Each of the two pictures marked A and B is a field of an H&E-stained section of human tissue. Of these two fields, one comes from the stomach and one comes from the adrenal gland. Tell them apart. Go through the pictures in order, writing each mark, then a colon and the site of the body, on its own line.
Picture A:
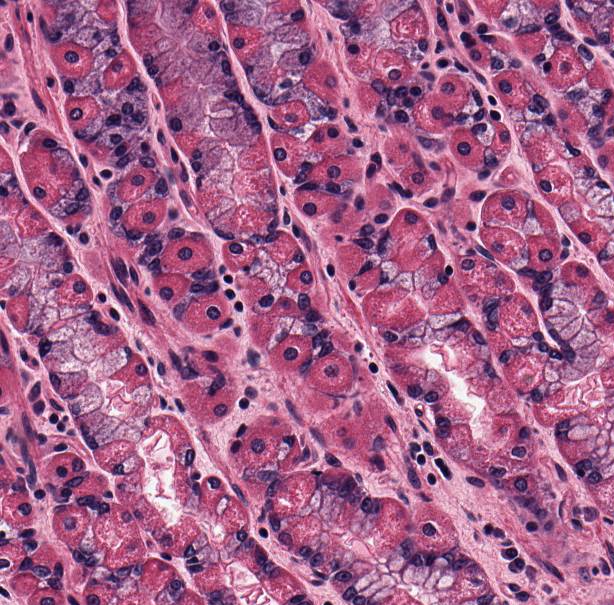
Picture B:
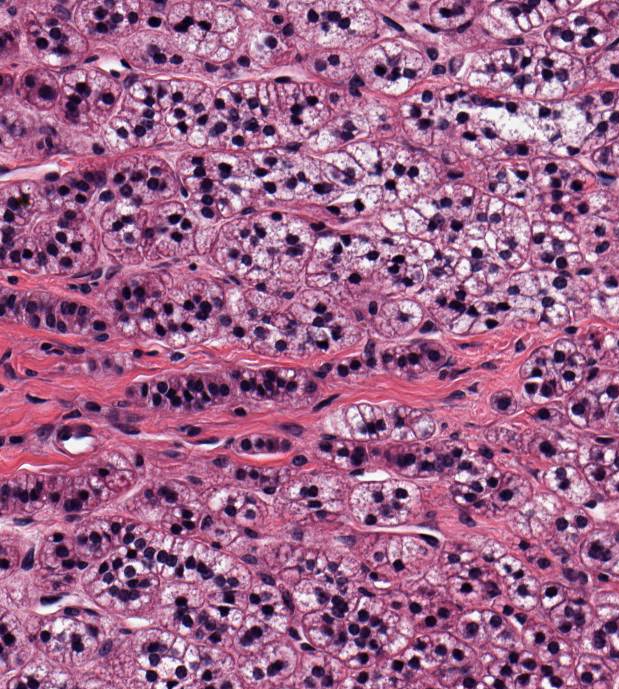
A: stomach
B: adrenal gland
